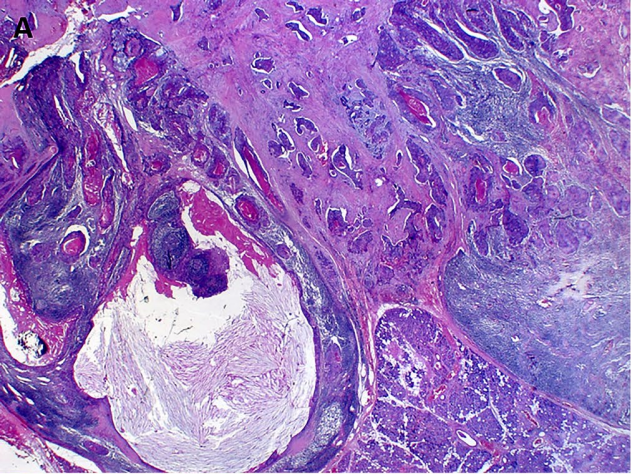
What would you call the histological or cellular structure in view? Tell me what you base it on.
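Variable cystic changes and keratinization. A large rounded cavity filled with pale laminated flaky material. Smaller spaces containing bright pink material within tumor nests.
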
